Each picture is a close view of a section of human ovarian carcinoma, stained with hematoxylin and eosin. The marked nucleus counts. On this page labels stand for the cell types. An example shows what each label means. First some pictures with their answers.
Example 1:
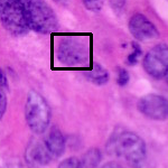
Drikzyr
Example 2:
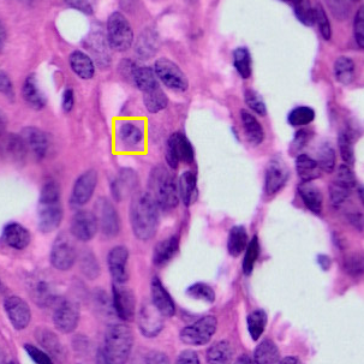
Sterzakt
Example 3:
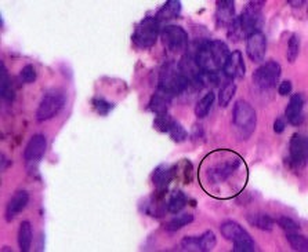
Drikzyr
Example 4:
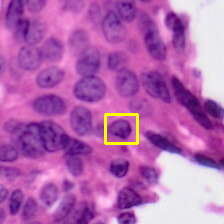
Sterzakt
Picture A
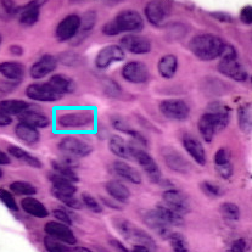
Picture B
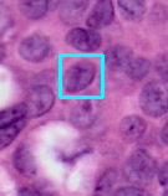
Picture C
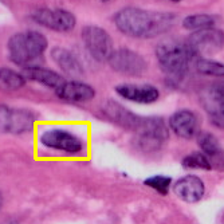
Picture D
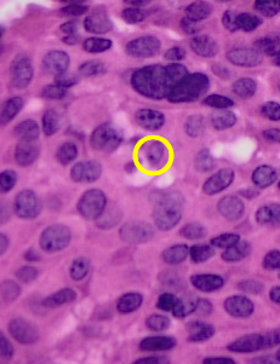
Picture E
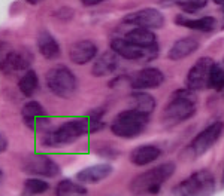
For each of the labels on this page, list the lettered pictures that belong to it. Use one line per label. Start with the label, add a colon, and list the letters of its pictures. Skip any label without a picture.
Drikzyr: A, B, E
Sterzakt: C, D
